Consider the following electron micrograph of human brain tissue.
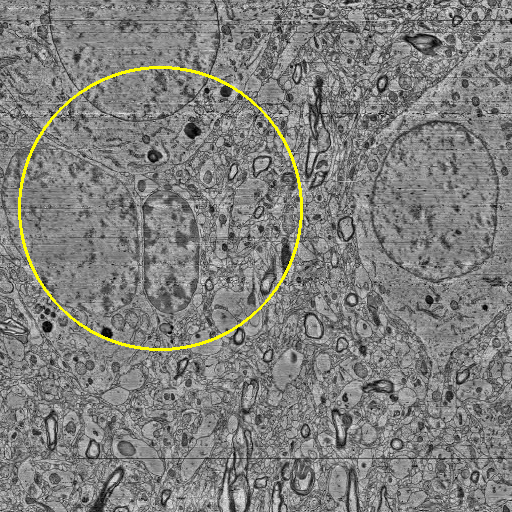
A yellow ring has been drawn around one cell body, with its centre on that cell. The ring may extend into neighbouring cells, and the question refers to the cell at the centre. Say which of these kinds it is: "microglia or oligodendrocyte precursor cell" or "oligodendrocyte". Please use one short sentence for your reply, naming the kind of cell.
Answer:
The centre of the ring falls on a microglial cell or oligodendrocyte precursor cell.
